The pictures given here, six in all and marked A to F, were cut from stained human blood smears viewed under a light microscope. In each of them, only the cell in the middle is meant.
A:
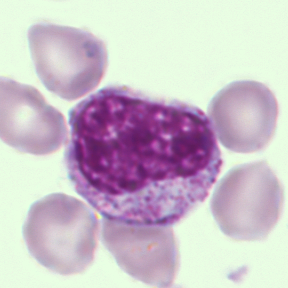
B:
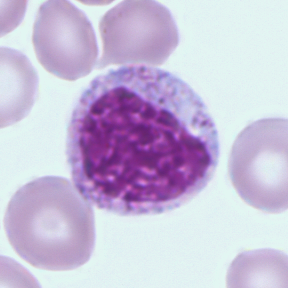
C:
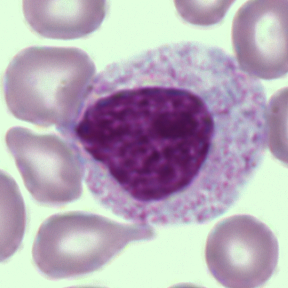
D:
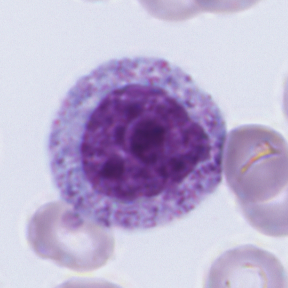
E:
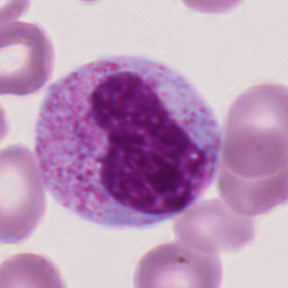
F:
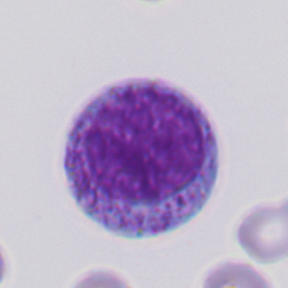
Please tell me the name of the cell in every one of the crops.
A: metamyelocyte
B: myelocyte
C: myelocyte
D: myelocyte
E: metamyelocyte
F: myelocyte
